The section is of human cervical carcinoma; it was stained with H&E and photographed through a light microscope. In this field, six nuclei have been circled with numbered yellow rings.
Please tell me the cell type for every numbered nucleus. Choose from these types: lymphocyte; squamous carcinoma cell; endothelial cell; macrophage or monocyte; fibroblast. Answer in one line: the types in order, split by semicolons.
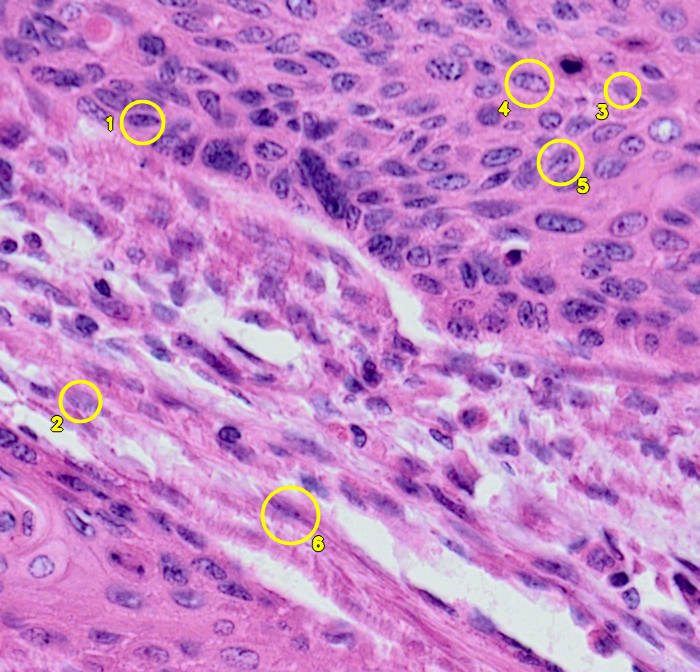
squamous carcinoma cell; fibroblast; squamous carcinoma cell; squamous carcinoma cell; squamous carcinoma cell; fibroblast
